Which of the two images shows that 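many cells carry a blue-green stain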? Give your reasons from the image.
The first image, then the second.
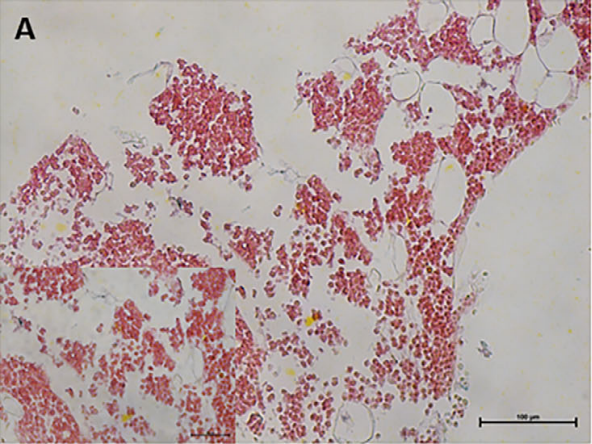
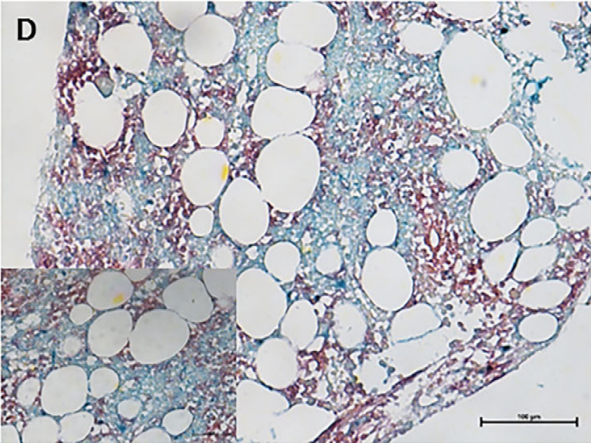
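The second image. Second image: broad areas of blue-green stain lie between the red-stained cells and the fat spaces. First image: the cells are red with essentially no blue-green stain.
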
